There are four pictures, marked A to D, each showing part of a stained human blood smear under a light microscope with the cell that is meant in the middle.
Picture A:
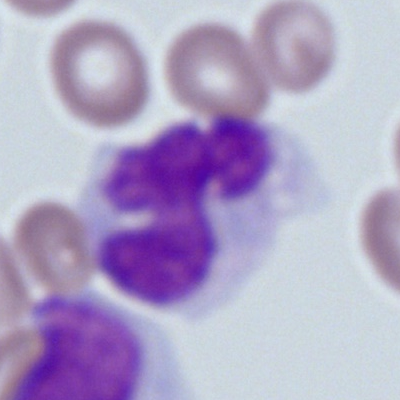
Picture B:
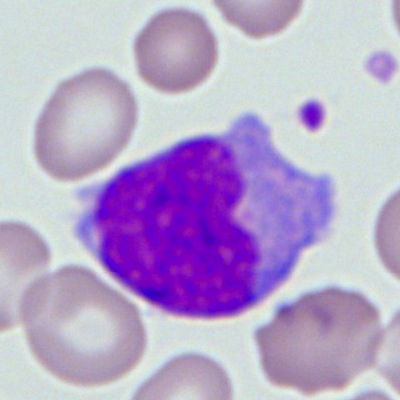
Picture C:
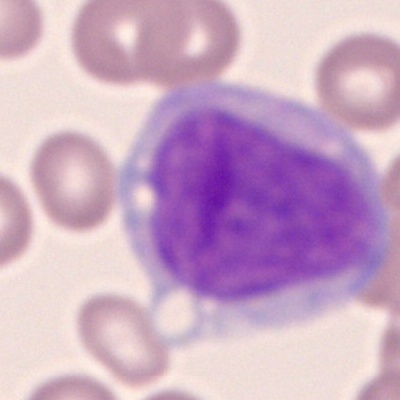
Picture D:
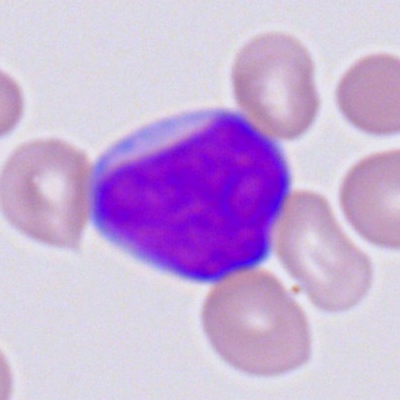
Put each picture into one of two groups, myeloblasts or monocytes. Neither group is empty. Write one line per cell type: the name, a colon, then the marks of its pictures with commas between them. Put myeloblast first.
myeloblast: C, D
monocyte: A, B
